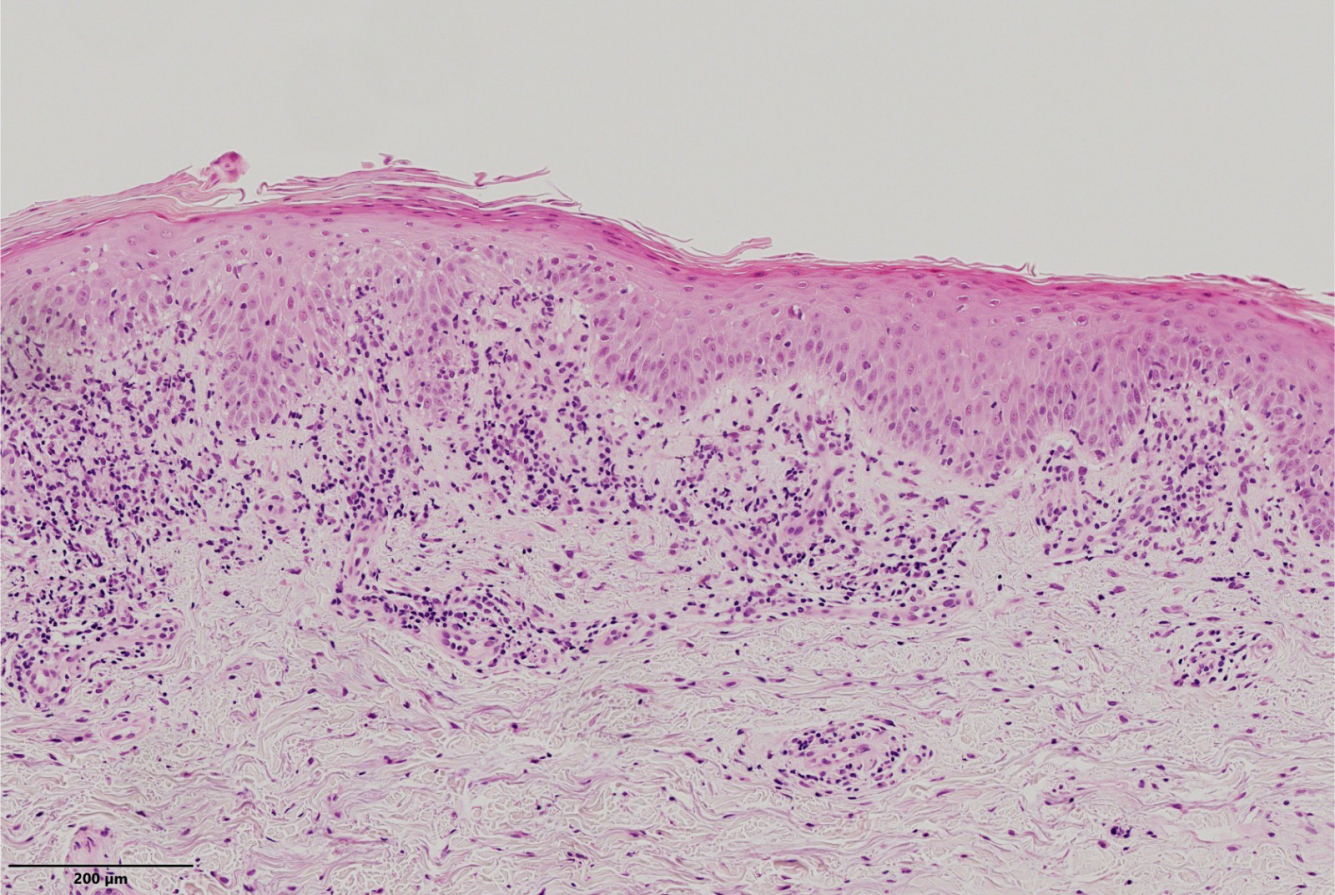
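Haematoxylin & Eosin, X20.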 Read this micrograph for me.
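This is skin with a stratified squamous epidermis capped by a pink compact layer of keratin, resting on a pale pink collagenous dermis. Directly beneath the epidermis, a dense band of small lymphocytes with round, dark-purple nuclei fills the upper dermis, thickest on the left. Many of these small cells cross into the lower epidermis among the larger pale keratinocytes, so the dermal–epidermal junction is blurred there. Deeper in the dermis only a few small clusters of cells sit around vessels.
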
